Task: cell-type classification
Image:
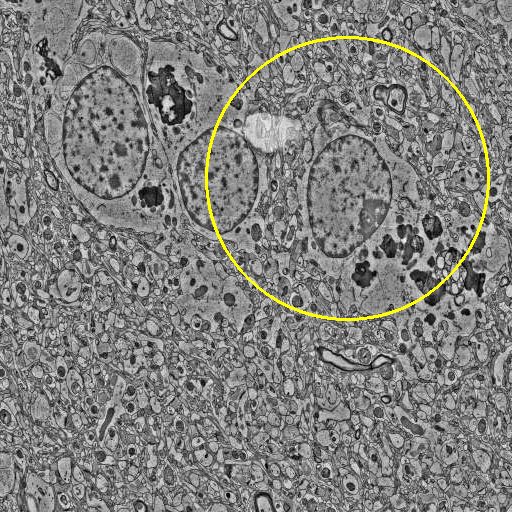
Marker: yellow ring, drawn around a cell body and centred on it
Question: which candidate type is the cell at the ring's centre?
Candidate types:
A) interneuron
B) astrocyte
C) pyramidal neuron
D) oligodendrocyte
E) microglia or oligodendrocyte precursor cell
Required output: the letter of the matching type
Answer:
B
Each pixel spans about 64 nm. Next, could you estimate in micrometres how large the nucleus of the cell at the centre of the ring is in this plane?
Roughly 8 by 5 micrometres in this plane, for the nucleus of the ringed cell.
